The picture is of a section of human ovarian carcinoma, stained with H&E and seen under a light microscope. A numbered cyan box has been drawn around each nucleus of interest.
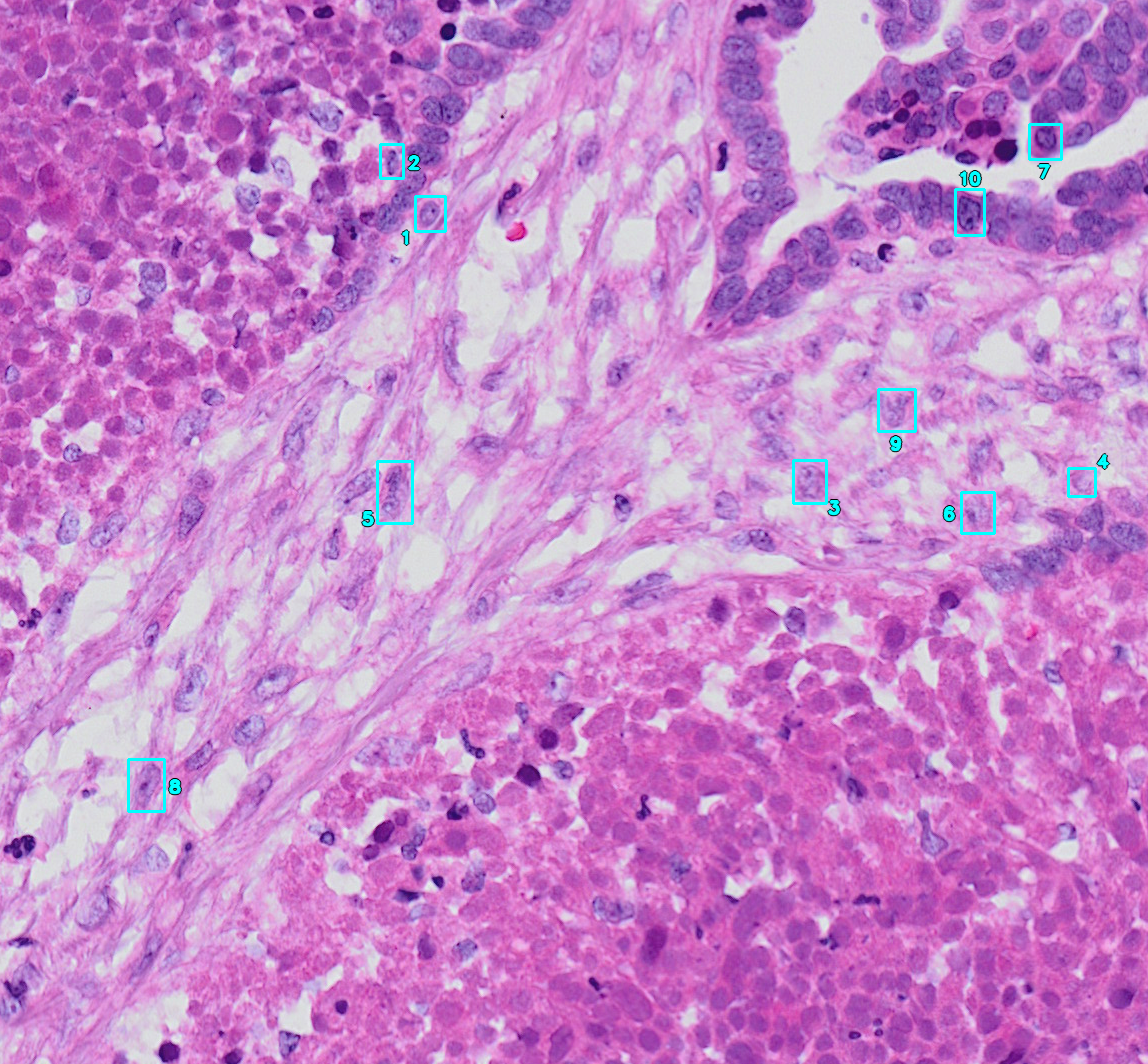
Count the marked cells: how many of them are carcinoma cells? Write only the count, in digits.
2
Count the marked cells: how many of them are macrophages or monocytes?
2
